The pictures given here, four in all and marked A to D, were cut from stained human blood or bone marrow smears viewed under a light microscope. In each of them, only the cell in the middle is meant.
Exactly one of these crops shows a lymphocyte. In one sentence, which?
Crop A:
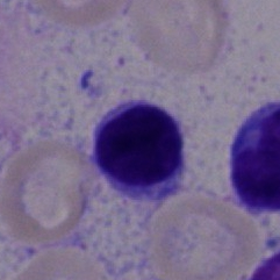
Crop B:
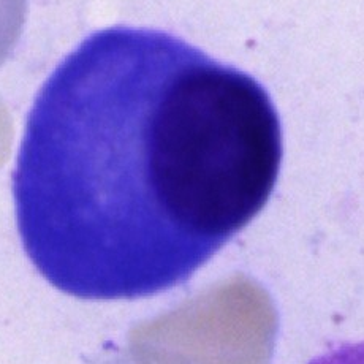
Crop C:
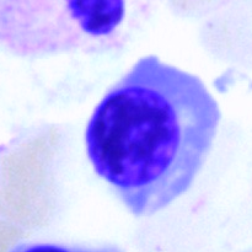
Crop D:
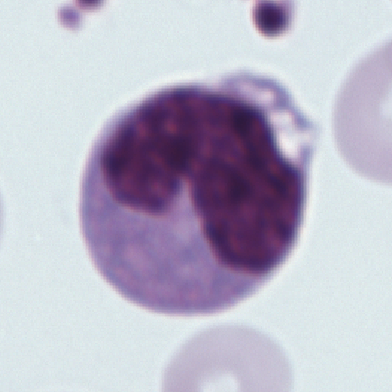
Look at crop A; that is the one with a lymphocyte in its center.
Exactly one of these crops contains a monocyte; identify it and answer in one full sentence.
The crop marked D is the one in which a monocyte is shown.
